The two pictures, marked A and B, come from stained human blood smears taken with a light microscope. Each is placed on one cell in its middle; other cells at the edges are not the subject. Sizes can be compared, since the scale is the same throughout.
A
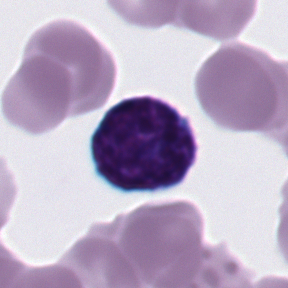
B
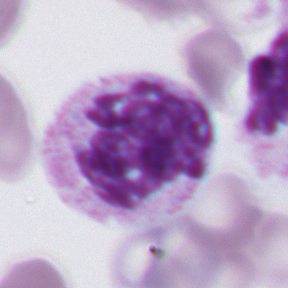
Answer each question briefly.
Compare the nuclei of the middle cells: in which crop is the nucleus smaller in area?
A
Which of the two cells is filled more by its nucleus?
A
